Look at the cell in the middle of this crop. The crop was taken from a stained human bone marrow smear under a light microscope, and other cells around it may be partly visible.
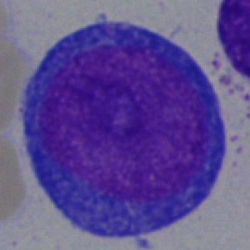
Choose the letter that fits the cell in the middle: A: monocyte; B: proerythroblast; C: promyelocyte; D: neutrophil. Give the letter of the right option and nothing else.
B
